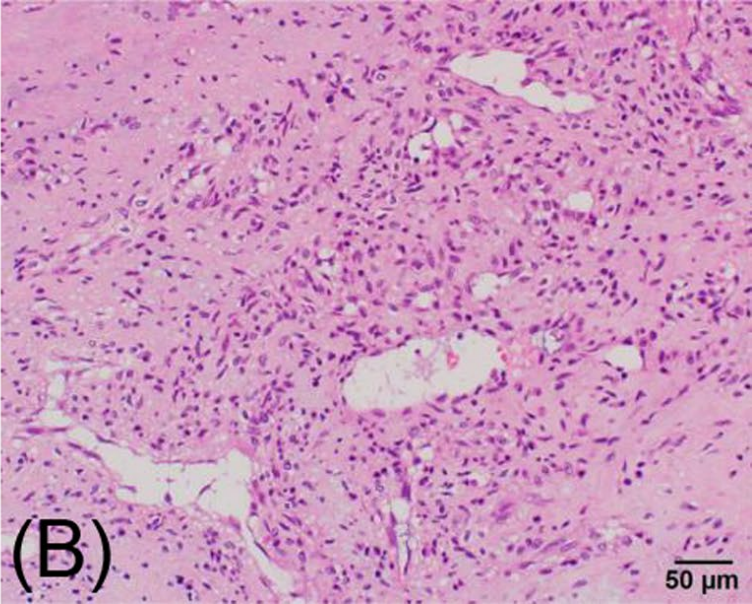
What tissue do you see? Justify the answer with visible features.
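Many loosely scattered plump and spindle-shaped nuclei in a pale pink matrix. Numerous small thin-walled vascular spaces throughout. On this evidence: granulation tissue.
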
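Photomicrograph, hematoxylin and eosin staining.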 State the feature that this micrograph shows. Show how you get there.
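Microvasculature. Several small empty lumens lined by flat thin cells. The lumens are scattered among the cells, some branching.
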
